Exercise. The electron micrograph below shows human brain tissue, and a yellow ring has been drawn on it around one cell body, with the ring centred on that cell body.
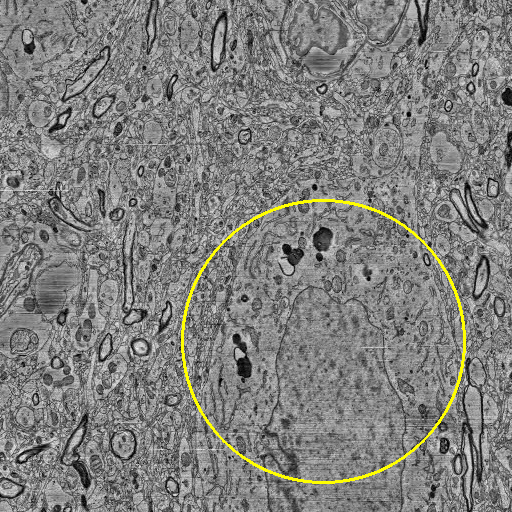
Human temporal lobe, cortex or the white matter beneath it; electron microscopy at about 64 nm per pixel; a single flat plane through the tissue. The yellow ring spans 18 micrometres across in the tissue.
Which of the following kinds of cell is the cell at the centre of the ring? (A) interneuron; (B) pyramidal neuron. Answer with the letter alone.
B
